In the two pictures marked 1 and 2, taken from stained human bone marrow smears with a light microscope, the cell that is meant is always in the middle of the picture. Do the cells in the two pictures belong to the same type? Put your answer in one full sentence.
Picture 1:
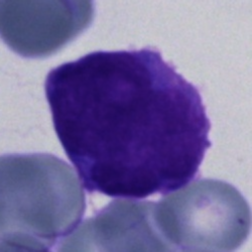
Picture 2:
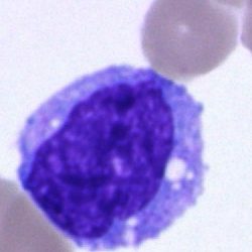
No. Picture 1 shows a blast, but picture 2 shows a monocyte.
